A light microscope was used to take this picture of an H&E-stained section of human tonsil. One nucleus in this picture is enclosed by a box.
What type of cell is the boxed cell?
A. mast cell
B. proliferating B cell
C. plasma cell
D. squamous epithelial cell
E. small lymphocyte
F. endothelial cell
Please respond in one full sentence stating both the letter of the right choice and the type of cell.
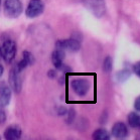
Option F is correct in that the boxed cell is an endothelial cell.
